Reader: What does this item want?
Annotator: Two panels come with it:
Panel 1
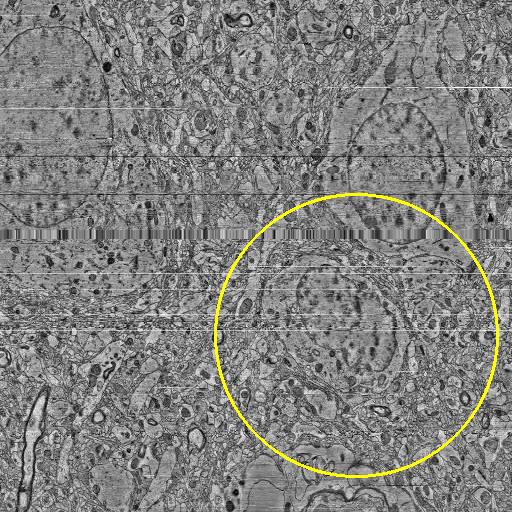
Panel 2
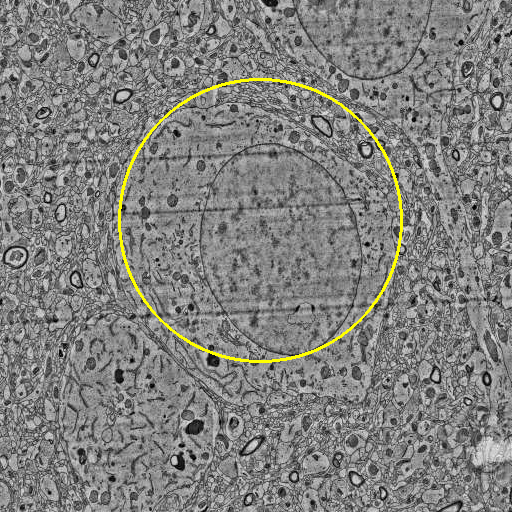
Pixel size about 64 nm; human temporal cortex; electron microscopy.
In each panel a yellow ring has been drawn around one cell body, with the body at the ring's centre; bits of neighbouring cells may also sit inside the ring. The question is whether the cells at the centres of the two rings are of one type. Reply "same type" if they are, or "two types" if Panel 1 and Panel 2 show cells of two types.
two types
